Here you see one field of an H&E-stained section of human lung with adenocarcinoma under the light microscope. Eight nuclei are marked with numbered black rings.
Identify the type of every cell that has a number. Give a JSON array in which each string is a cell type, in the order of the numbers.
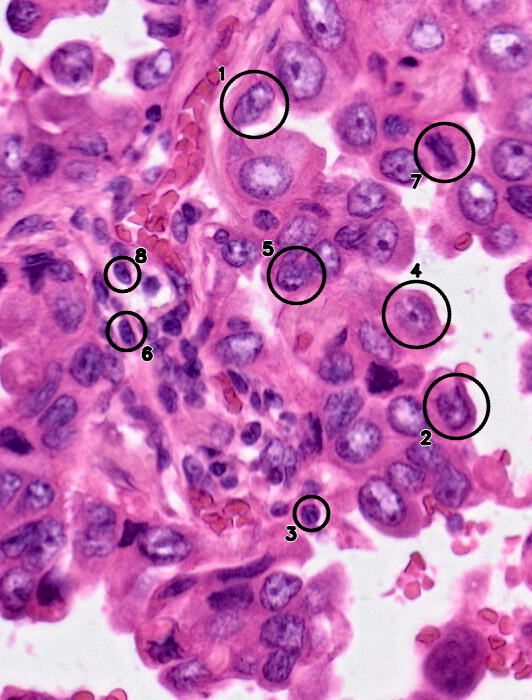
["carcinoma cell", "carcinoma cell", "lymphocyte", "carcinoma cell", "carcinoma cell", "lymphocyte", "carcinoma cell", "lymphocyte"]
